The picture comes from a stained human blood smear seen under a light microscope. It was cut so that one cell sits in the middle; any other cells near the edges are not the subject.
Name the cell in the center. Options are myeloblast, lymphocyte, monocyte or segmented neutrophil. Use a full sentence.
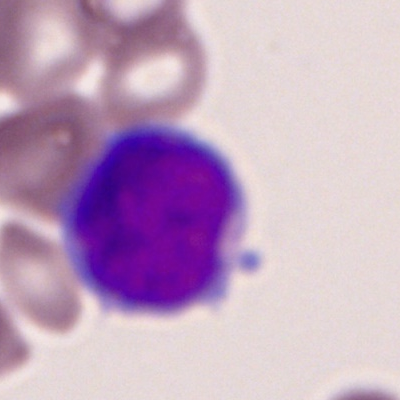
Positioned in the middle of the crop is a myeloblast.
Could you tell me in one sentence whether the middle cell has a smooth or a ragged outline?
Its surface contour departs from smoothness through ragged edges or outward projections.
